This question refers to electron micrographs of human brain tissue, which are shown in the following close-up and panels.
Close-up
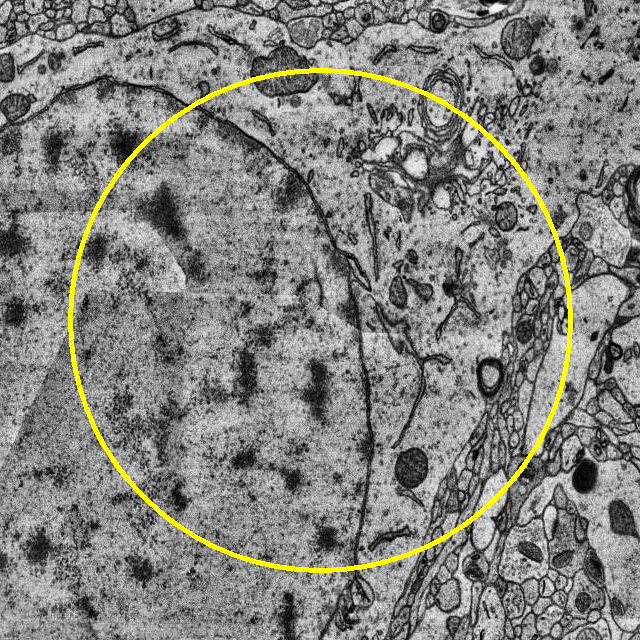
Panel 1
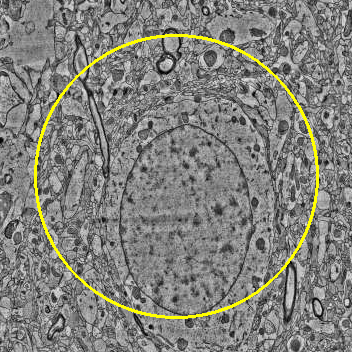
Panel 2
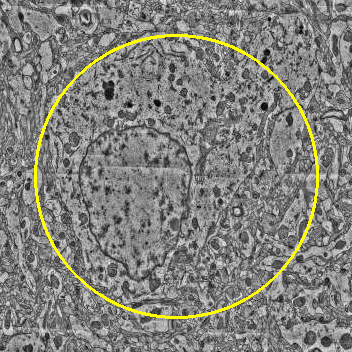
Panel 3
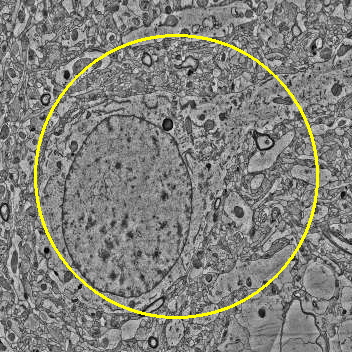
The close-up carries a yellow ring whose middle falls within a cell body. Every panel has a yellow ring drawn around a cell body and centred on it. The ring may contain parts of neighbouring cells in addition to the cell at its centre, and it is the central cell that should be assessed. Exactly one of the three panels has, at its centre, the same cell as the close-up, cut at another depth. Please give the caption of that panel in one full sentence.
The enlargement corresponds to the cell circled in Panel 3.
